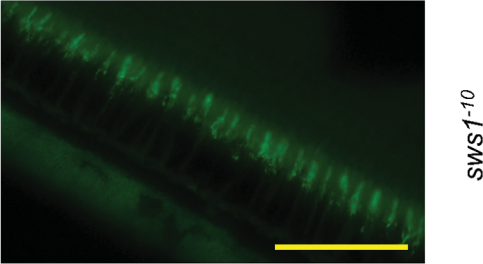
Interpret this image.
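Fluorescence image of retina in which the green label lies in the layer of photoreceptor outer segments. The labelled structures form a single, regularly spaced row running diagonally across the field; each is an elongated, tapering, cone-shaped profile oriented perpendicular to the band. Between them lie unlabelled gaps. The surrounding tissue shows only faint diffuse green background, with a broader, dimmer band running parallel to the labelled row.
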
